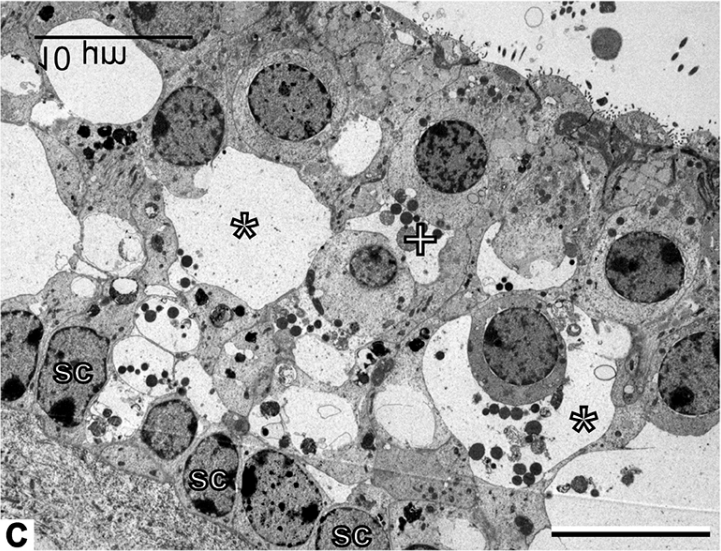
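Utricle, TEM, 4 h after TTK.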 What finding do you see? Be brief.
The structure of the epithelium is completely distorted.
